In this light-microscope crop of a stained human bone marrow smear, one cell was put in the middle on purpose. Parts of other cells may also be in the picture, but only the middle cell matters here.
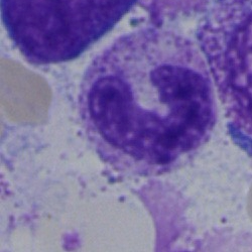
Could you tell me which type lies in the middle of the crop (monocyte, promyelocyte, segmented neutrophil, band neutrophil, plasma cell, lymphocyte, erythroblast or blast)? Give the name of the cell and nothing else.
band neutrophil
